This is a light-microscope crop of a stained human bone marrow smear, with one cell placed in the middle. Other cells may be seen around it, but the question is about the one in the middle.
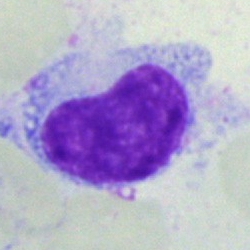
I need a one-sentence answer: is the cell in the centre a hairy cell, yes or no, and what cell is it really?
Yes, the cell shown in the middle is a hairy cell.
